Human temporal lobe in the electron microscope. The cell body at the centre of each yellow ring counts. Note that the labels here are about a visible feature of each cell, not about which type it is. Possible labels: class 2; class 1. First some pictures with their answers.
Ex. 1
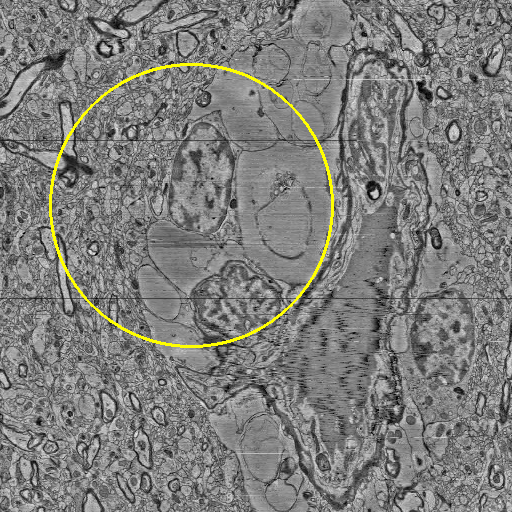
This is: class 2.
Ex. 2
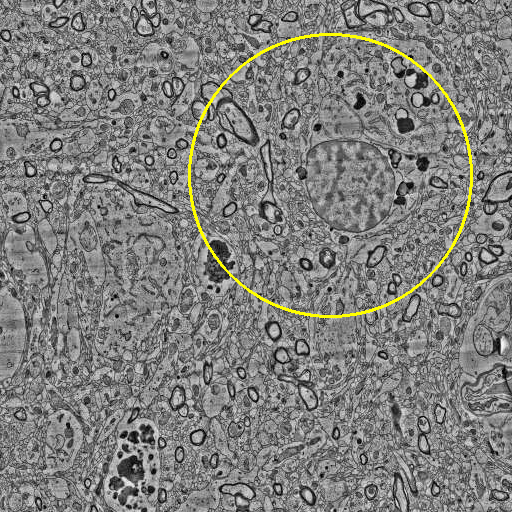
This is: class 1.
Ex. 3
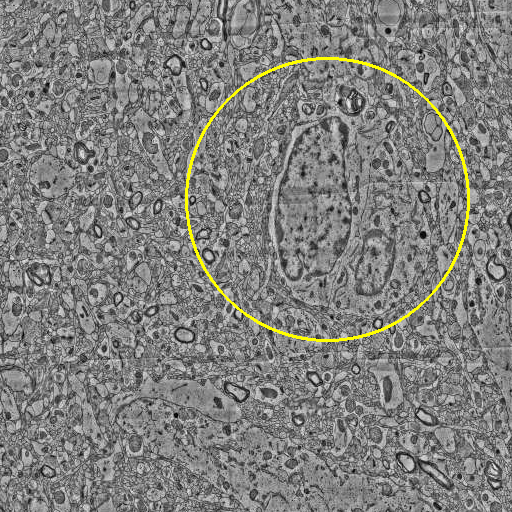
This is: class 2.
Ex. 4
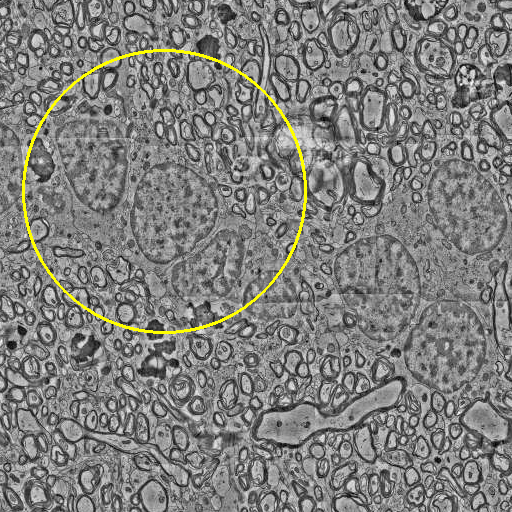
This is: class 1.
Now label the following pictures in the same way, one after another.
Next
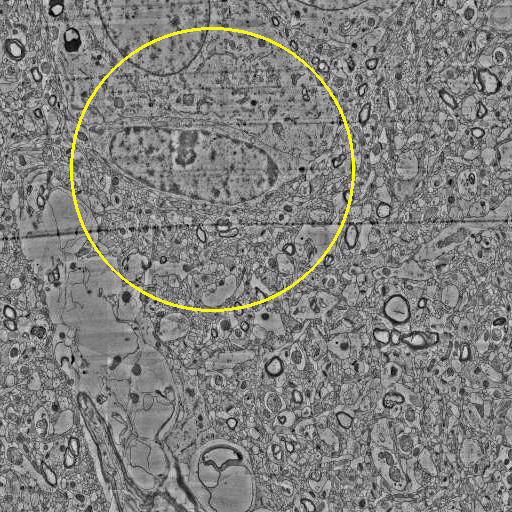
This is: class 2.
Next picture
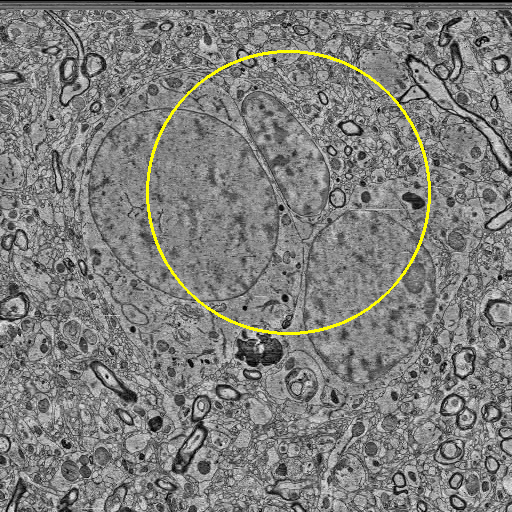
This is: class 2.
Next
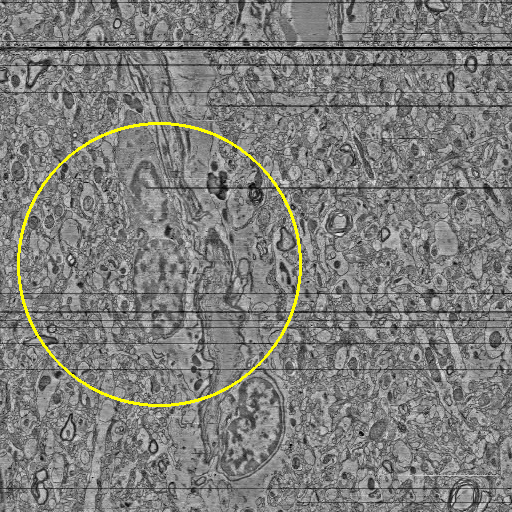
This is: class 2.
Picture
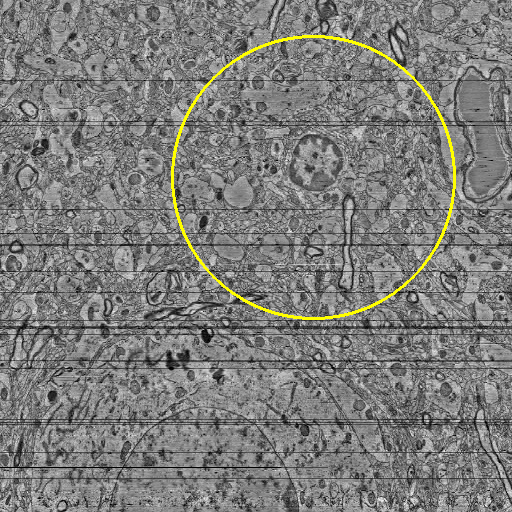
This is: class 1.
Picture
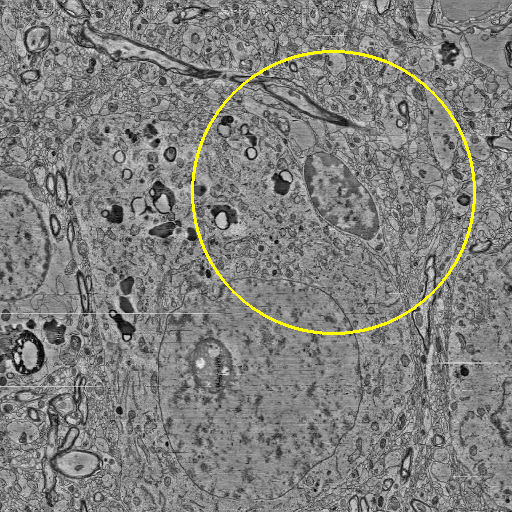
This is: class 2.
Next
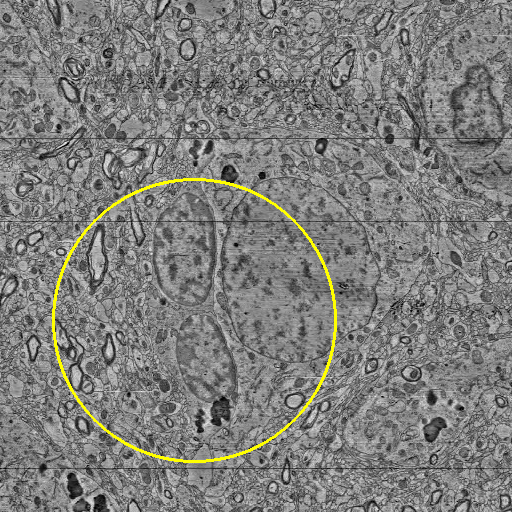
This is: class 2.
